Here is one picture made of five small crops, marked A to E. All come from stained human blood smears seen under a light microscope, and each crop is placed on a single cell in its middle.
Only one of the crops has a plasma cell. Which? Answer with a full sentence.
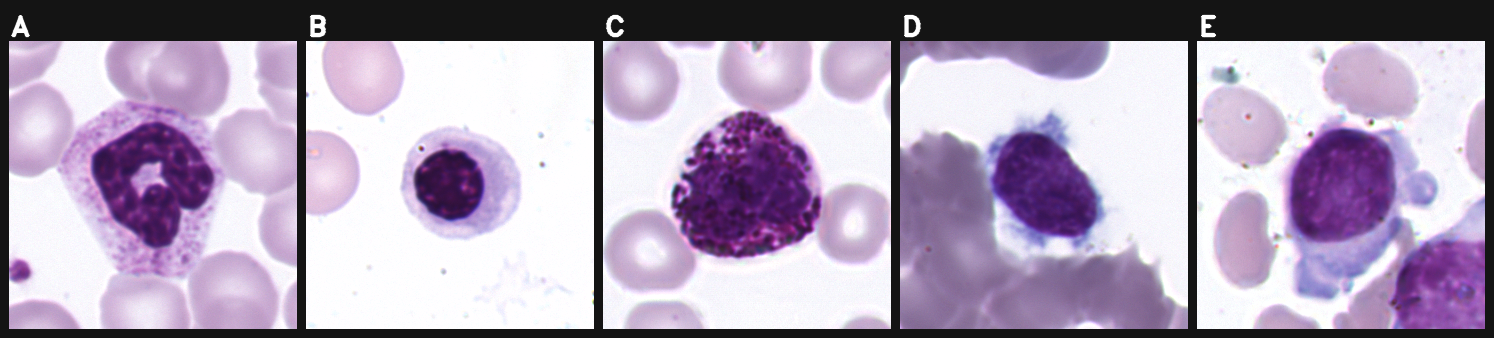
In this set, crop E is the one showing a plasma cell.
